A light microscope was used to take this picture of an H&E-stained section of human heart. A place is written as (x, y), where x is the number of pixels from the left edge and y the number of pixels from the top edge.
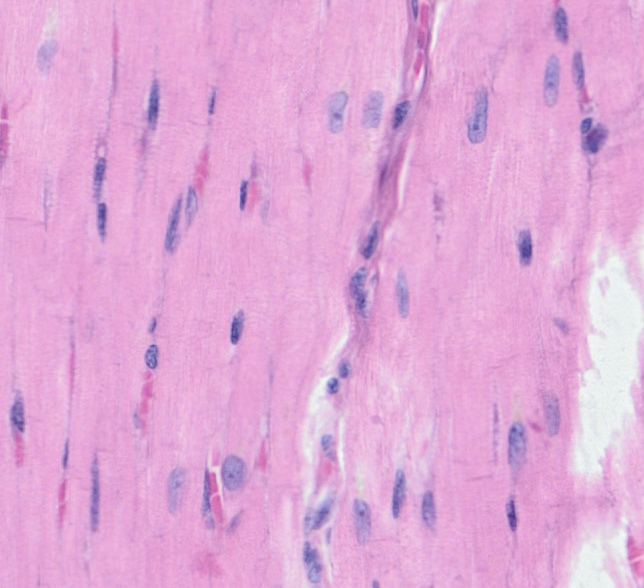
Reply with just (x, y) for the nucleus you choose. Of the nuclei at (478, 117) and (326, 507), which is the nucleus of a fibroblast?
(326, 507)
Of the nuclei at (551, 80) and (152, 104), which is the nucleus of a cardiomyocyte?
(551, 80)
